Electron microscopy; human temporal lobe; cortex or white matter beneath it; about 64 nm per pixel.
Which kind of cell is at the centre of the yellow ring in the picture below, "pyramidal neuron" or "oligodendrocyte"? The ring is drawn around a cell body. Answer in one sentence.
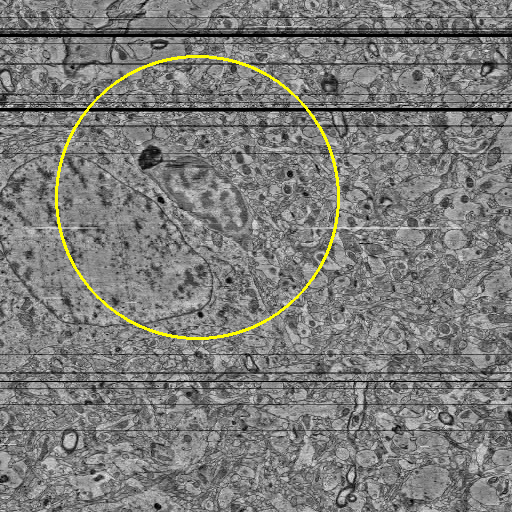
The ring's central cell is an oligodendrocyte.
